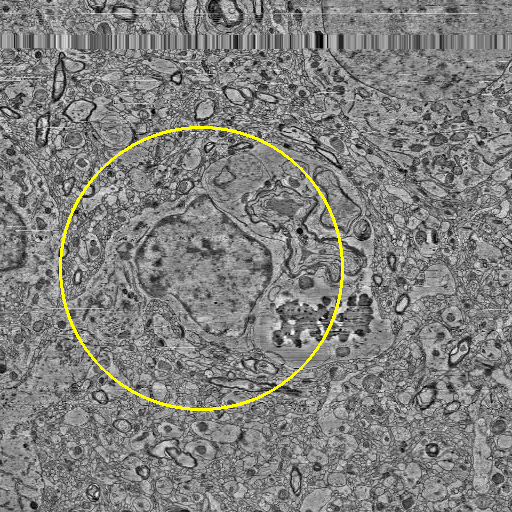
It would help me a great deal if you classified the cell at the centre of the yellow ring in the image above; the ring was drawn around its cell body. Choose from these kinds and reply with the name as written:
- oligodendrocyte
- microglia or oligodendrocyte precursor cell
microglia or oligodendrocyte precursor cell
